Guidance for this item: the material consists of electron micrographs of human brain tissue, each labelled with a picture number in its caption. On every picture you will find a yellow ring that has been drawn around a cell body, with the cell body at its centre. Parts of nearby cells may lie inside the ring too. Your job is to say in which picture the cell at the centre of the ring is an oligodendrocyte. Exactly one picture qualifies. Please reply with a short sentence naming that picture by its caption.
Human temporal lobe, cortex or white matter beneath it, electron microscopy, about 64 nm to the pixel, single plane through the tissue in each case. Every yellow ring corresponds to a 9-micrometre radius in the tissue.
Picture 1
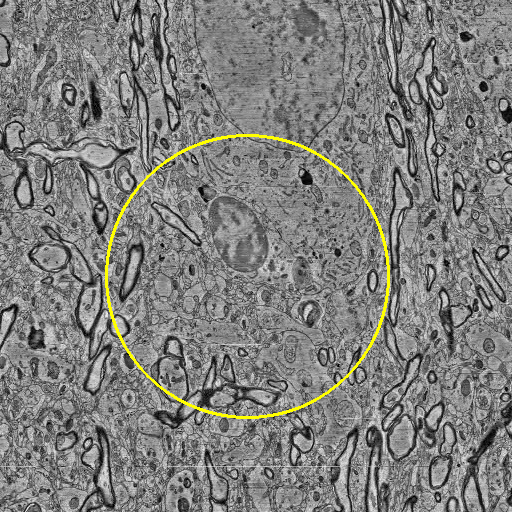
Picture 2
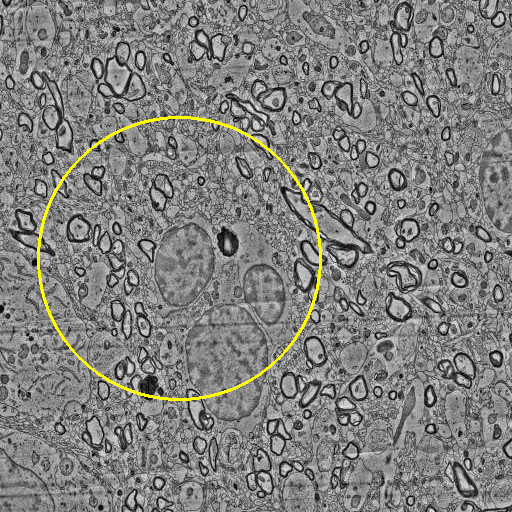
Picture 2 shows it at the centre of the ring.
